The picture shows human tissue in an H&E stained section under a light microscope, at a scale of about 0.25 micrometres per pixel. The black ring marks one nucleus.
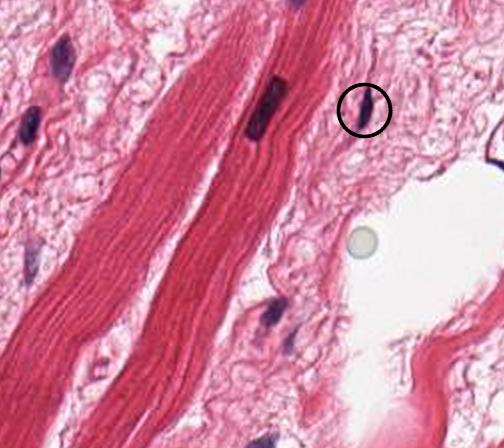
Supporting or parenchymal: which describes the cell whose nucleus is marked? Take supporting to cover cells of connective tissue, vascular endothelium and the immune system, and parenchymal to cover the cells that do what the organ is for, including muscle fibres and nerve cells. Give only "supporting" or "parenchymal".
supporting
